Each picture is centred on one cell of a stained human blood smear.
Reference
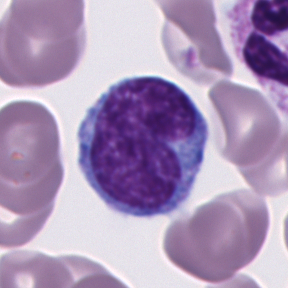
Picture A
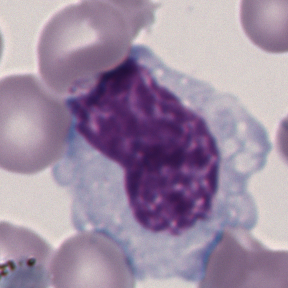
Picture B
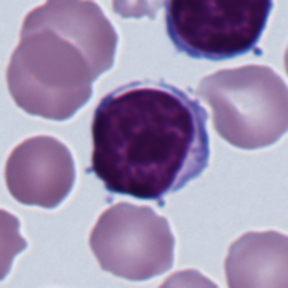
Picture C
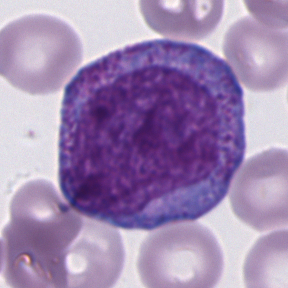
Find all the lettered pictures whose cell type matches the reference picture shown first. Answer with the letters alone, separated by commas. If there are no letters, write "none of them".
A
